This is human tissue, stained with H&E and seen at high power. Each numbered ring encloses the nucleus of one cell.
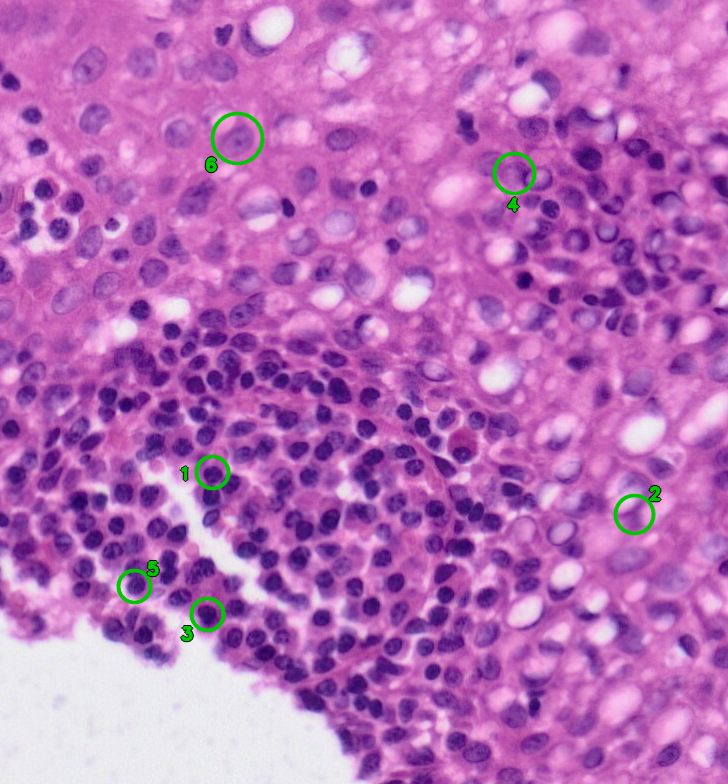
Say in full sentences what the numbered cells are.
Cells 1, 3 and 5 are plasma cells. Cells 2, 4 and 6 are squamous epithelial cells.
